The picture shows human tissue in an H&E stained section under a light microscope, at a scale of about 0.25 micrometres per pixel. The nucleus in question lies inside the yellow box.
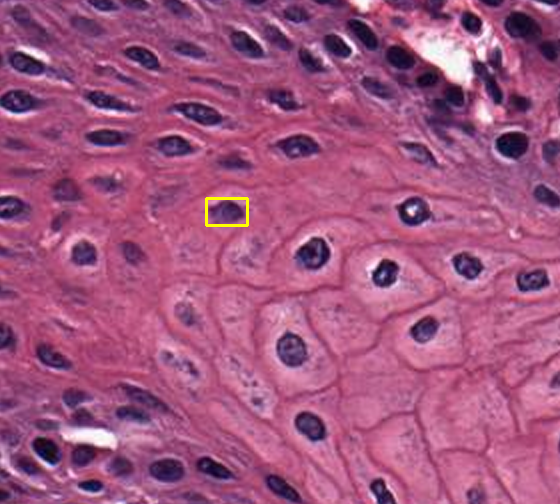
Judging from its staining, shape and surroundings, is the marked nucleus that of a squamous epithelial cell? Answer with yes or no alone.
yes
